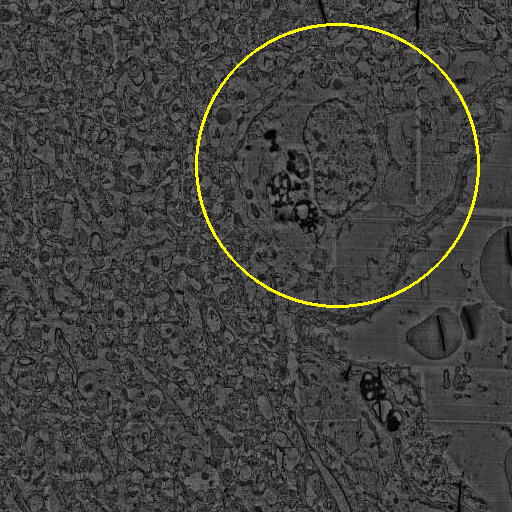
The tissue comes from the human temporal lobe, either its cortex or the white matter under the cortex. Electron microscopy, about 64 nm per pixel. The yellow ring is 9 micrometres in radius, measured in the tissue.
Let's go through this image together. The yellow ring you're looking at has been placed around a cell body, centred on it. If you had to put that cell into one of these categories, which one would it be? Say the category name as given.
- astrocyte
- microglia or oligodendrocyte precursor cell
astrocyte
